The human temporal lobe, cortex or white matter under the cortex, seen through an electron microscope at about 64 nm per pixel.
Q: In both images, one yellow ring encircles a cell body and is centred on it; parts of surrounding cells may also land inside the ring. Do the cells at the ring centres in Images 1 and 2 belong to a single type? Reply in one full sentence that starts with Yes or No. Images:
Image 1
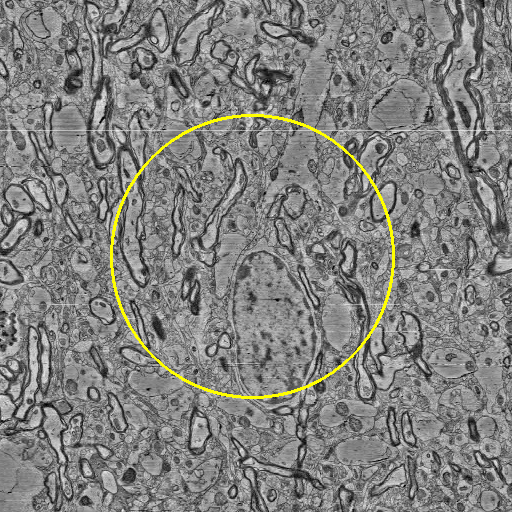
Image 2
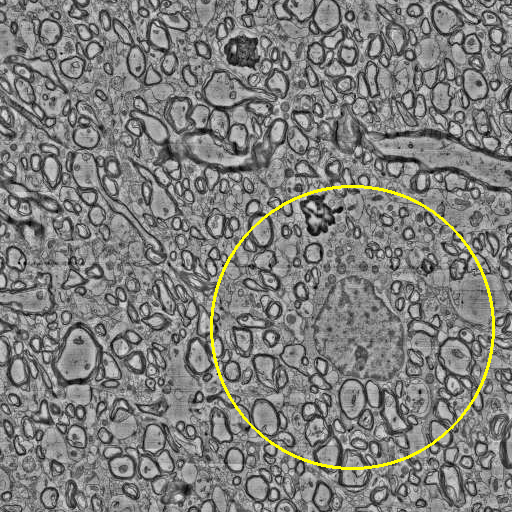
No, the cells at the ring centres in Images 1 and 2 are of two types.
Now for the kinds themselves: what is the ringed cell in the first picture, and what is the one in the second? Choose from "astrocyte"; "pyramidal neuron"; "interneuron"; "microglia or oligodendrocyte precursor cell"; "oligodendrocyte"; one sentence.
Here the first cell is a microglial cell or oligodendrocyte precursor cell and the second cell is an oligodendrocyte.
